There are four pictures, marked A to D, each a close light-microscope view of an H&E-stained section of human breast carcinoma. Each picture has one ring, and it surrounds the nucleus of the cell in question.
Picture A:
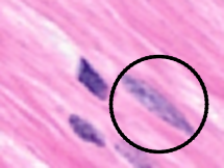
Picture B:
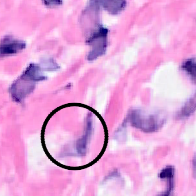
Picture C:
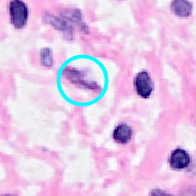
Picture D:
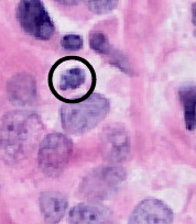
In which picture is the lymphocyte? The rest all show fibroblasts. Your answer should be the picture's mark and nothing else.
D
